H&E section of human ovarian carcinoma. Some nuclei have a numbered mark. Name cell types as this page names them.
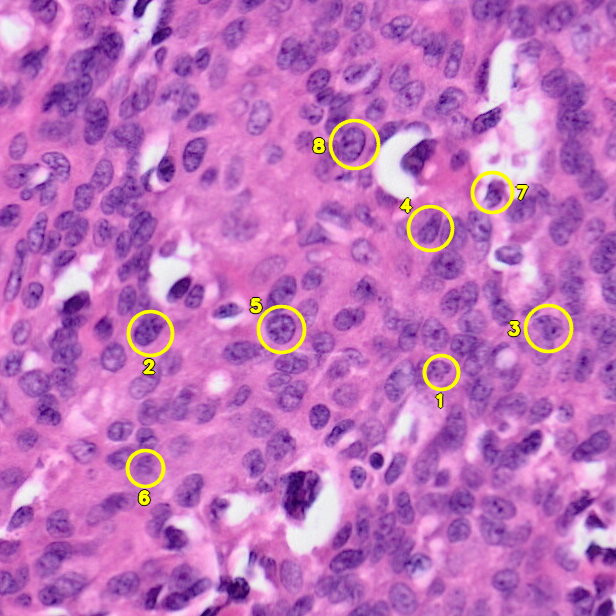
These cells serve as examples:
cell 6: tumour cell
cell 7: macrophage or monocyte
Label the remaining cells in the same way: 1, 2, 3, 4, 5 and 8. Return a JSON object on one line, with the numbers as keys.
{"1": "macrophage or monocyte", "2": "tumour cell", "3": "macrophage or monocyte", "4": "tumour cell", "5": "tumour cell", "8": "tumour cell"}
